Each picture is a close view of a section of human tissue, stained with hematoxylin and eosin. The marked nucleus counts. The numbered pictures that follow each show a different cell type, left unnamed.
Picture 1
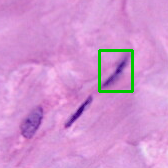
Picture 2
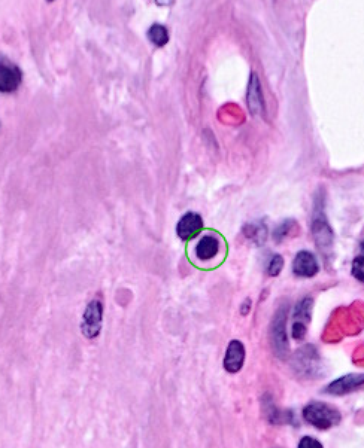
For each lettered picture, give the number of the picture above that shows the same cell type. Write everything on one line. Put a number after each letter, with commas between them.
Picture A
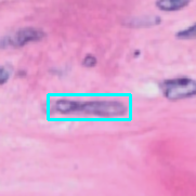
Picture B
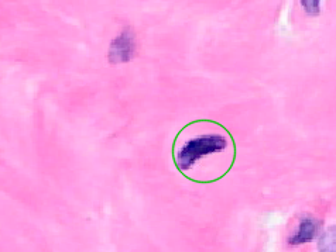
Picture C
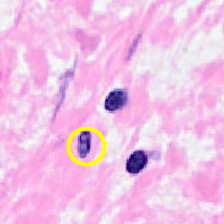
A 1, B 2, C 2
